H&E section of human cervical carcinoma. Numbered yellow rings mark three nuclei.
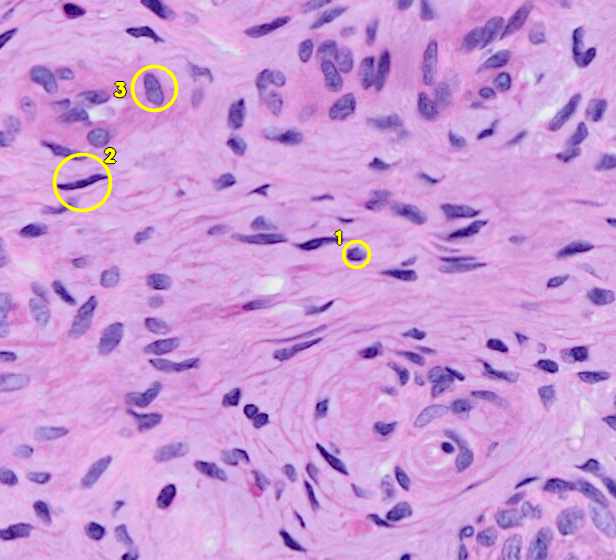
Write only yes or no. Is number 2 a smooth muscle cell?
no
